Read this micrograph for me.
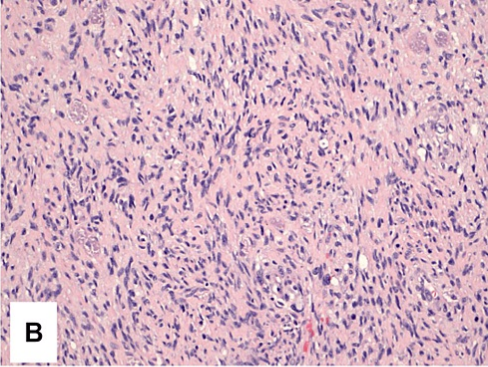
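This is a spindle cell tumor whose slender, wavy nuclei lie in bundles that sweep in different directions and cross one another. The background is pale pink, and cell density varies, with more crowded areas beside looser ones; small vessels are cut across in places.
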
